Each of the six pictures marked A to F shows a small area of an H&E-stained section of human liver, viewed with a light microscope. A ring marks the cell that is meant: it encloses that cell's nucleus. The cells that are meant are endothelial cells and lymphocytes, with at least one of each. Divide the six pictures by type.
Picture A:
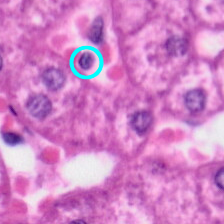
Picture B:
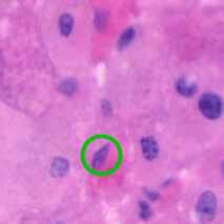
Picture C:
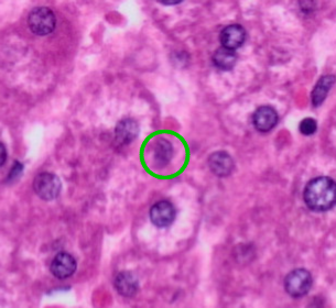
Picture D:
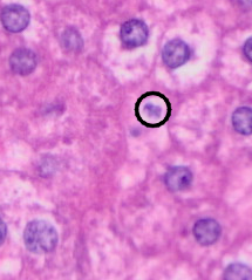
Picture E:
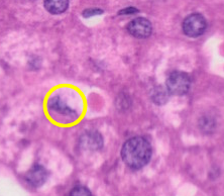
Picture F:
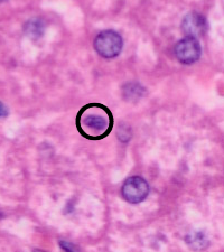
A: lymphocyte
B: endothelial cell
C: endothelial cell
D: lymphocyte
E: endothelial cell
F: lymphocyte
